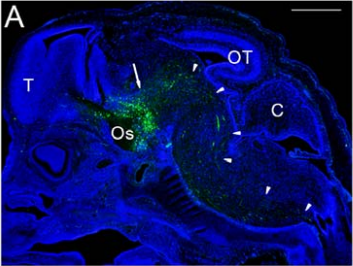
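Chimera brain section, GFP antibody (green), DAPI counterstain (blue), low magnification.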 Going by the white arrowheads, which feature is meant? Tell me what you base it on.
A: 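Thin green lines run along the brainstem toward the lower edge of the section. The arrowheads sit beside these thin green lines, away from the dense green cluster. The answer: fibers.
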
